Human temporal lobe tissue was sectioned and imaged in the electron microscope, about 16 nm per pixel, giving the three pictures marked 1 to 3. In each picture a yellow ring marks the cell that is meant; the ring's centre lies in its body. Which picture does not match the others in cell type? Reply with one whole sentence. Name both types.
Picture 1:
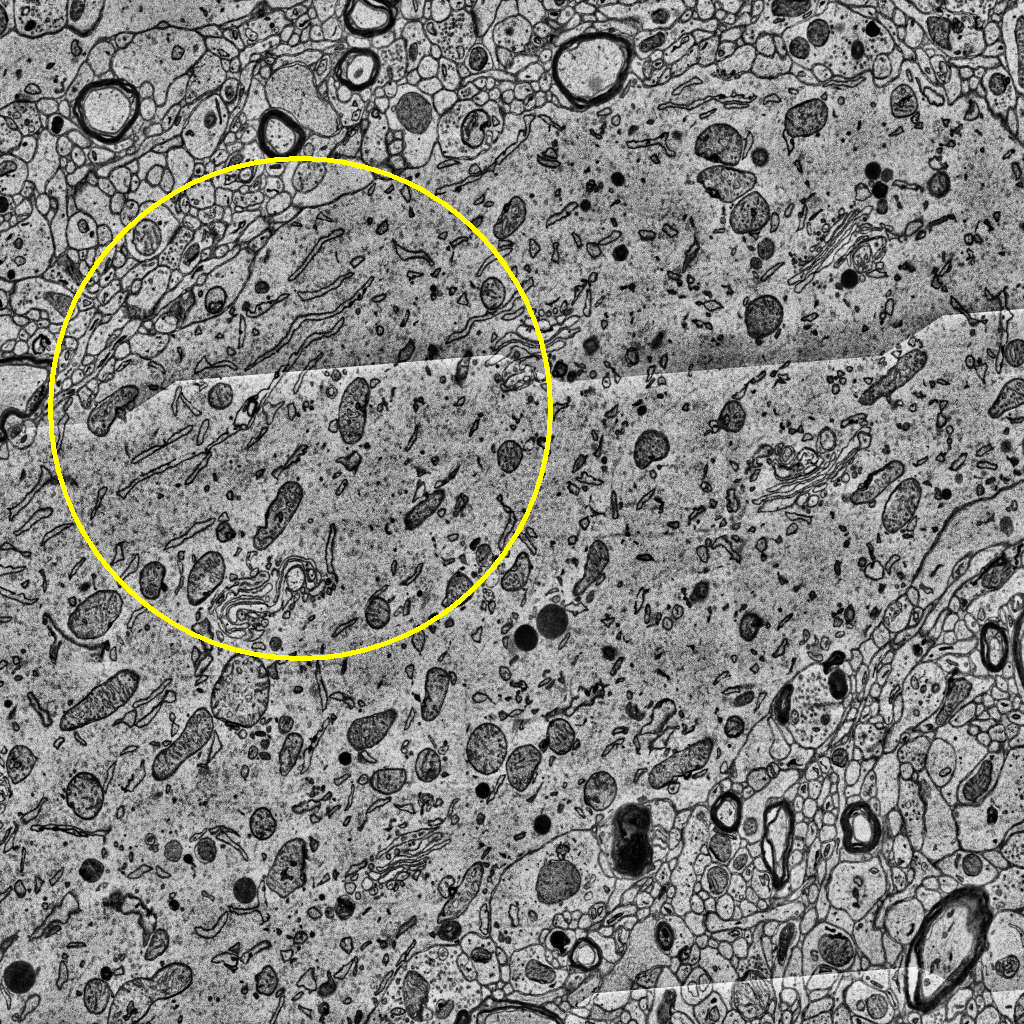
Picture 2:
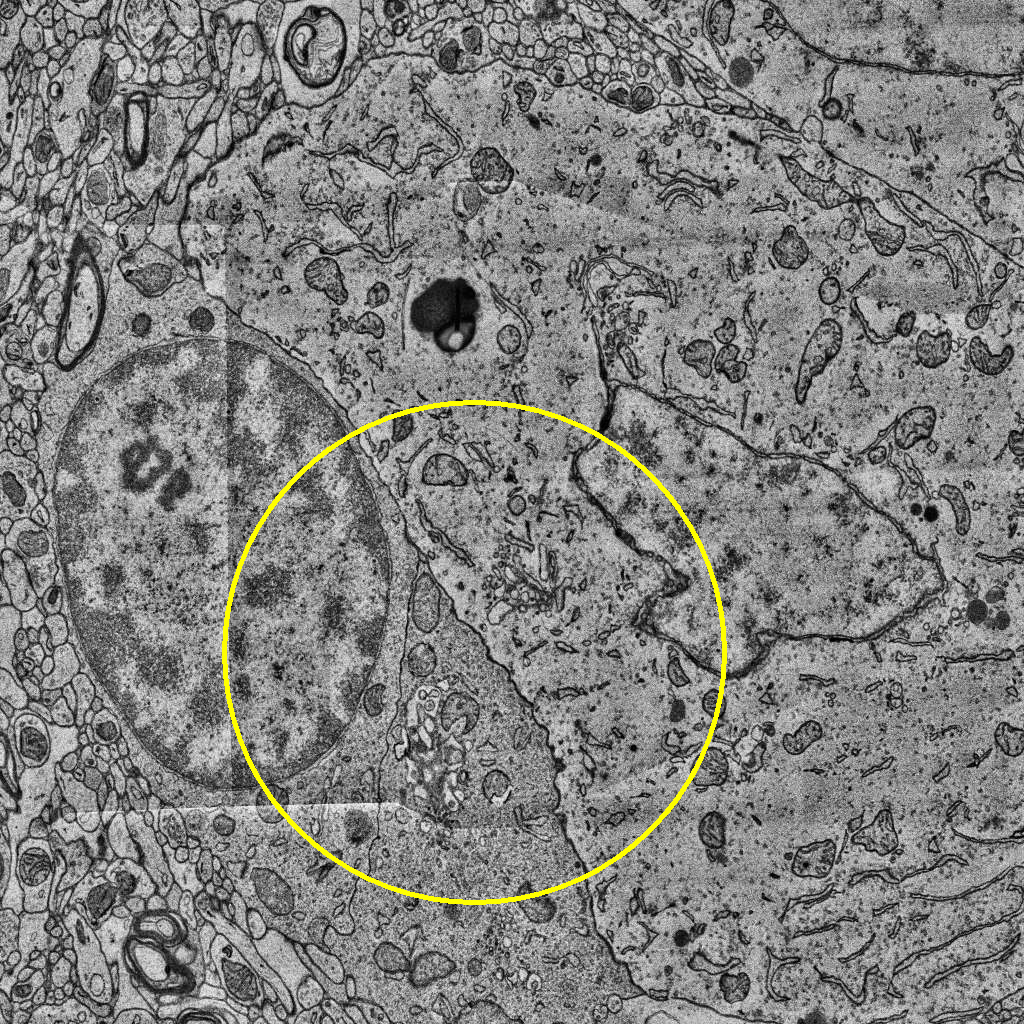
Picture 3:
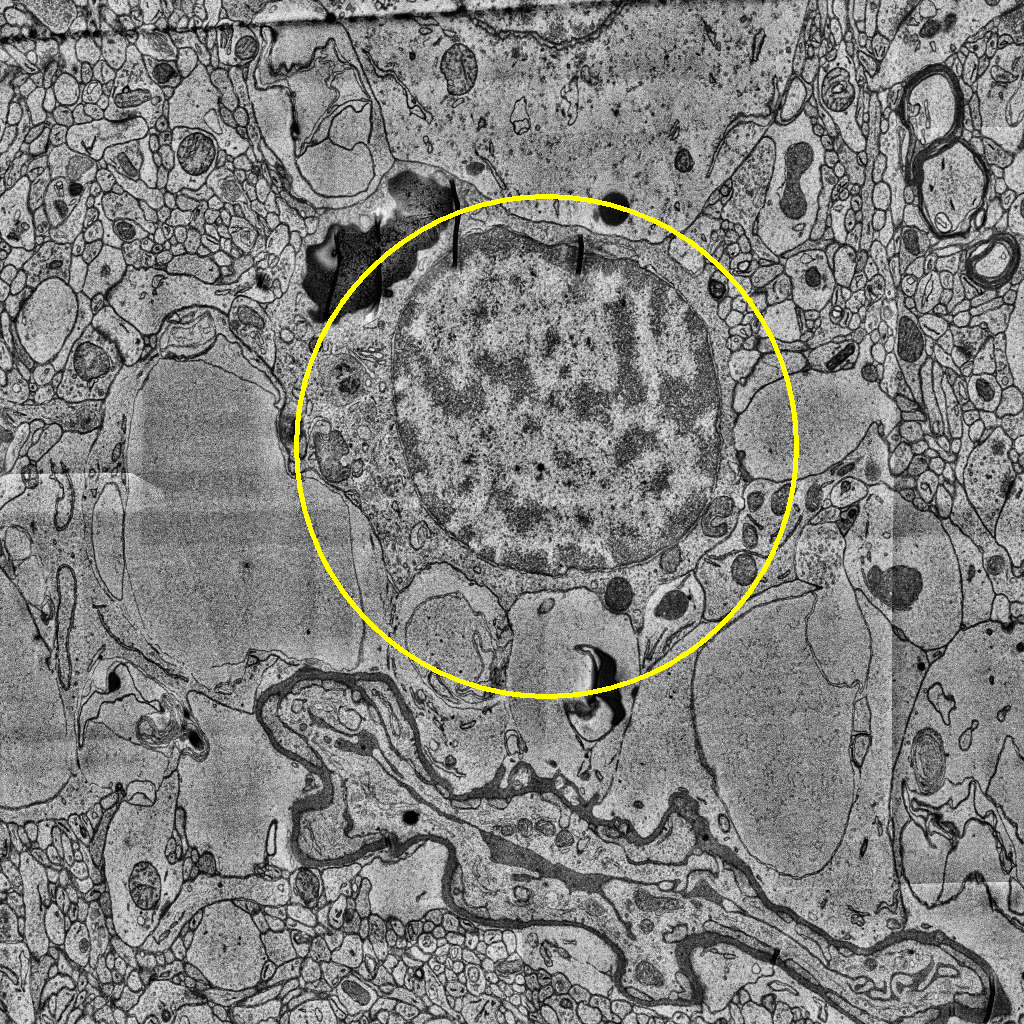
All pictures except 1 show oligodendrocytes; picture 1 shows a pyramidal neuron.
